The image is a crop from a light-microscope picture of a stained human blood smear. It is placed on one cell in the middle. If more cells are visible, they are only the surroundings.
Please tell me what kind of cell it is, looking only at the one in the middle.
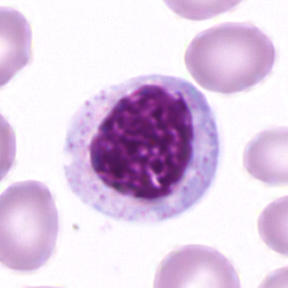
metamyelocyte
